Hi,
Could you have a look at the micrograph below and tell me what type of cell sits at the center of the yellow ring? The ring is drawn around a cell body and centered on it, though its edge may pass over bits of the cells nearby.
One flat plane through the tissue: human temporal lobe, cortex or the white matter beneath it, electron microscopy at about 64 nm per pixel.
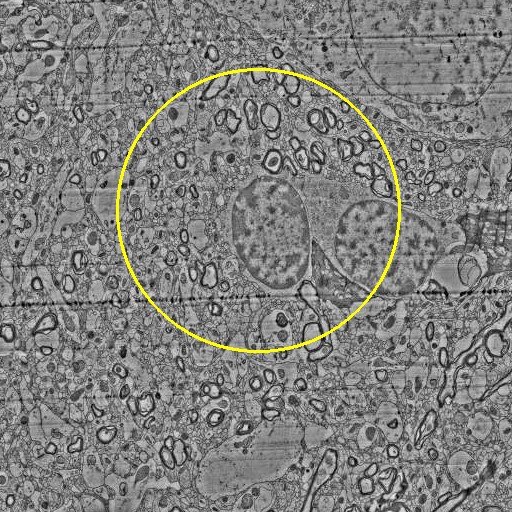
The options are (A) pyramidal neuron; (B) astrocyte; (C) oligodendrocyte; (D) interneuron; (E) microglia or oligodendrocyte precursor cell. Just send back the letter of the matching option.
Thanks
C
